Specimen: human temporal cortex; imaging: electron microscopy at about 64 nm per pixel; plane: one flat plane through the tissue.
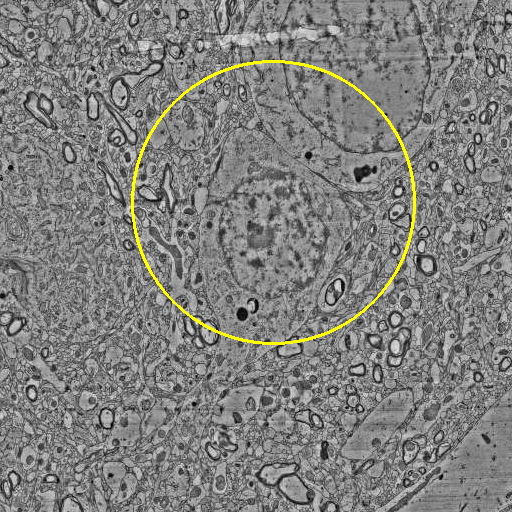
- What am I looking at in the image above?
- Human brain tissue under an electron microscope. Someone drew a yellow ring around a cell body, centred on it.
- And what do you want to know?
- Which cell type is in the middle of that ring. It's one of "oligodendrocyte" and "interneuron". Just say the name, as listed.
interneuron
